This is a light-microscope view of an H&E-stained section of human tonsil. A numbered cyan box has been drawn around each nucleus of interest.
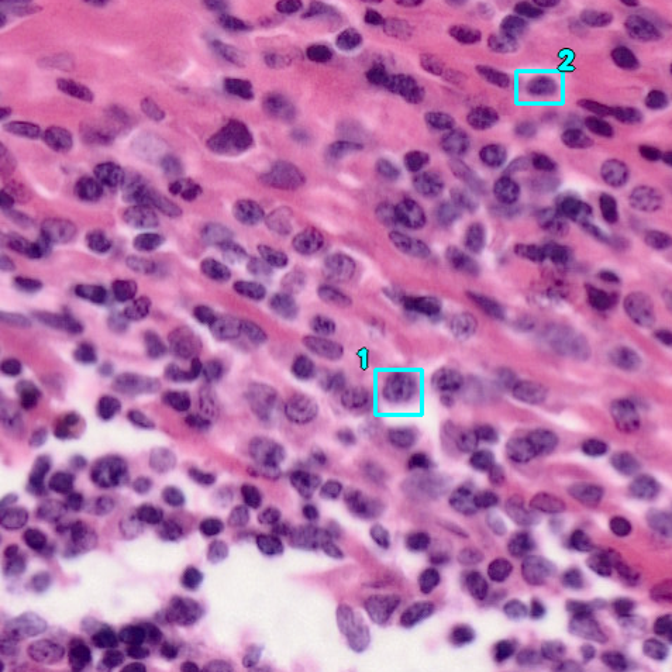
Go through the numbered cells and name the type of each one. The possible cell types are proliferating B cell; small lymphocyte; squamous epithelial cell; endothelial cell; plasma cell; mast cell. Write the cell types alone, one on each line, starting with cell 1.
plasma cell
mast cell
